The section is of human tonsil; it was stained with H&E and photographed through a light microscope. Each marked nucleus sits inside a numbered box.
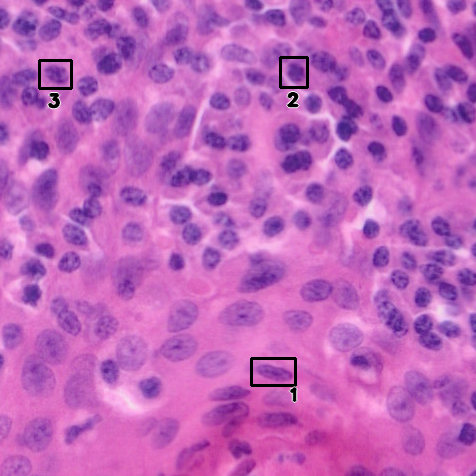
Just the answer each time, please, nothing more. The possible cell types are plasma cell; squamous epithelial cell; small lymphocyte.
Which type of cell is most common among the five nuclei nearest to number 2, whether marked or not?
plasma cell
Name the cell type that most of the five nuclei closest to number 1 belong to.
squamous epithelial cell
